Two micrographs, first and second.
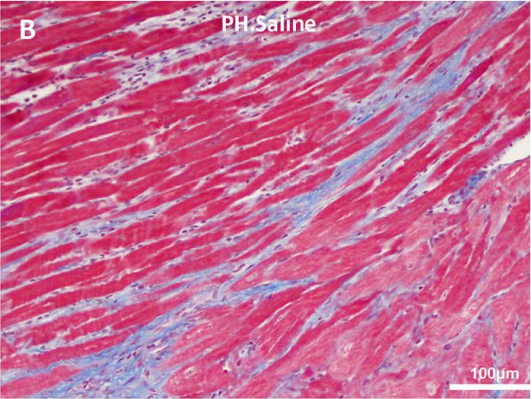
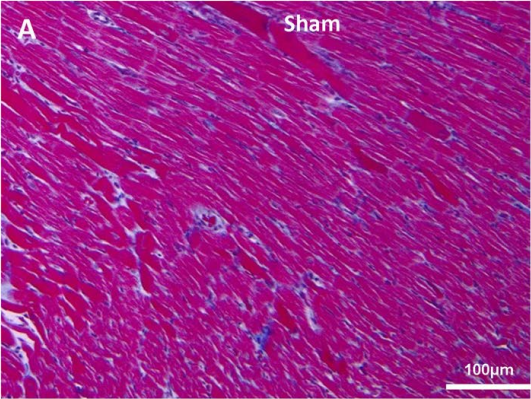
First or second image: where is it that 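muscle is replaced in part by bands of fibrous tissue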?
The first image.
